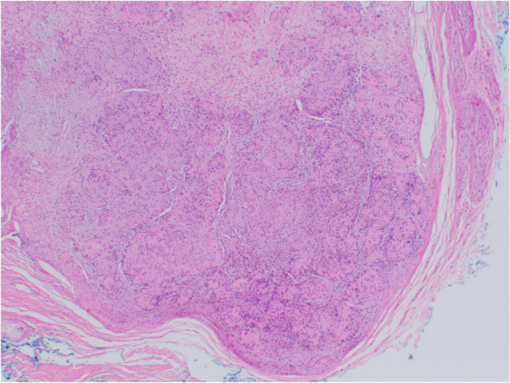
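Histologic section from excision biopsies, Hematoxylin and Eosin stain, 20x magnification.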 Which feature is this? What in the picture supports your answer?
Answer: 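Well-circumscribed and thinly encapsulated tumour nodule. A rounded, sharply bordered cellular mass fills most of the field. A thin band of pale pink fibrous tissue wraps its outer edge. The mass is clearly set off from the surrounding loose tissue.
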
